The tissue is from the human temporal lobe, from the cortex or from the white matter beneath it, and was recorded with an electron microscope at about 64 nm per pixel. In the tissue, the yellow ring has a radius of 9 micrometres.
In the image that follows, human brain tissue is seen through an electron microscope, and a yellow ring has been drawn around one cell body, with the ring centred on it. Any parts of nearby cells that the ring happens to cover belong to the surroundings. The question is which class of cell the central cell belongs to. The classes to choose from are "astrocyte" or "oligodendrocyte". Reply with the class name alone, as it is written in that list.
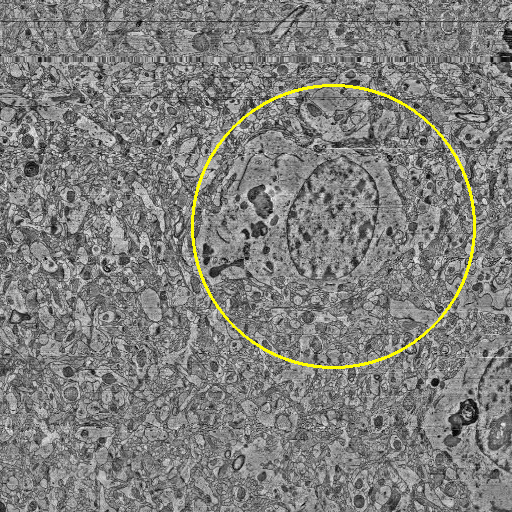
astrocyte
